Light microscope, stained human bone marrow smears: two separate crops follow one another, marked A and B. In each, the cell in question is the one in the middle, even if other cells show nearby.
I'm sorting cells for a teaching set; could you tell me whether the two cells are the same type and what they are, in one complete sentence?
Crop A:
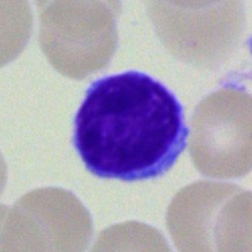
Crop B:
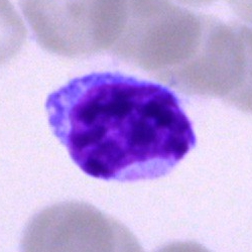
Yes, lymphocytes are at the centre in both crops.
